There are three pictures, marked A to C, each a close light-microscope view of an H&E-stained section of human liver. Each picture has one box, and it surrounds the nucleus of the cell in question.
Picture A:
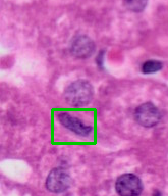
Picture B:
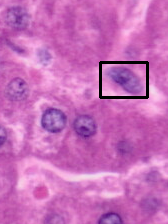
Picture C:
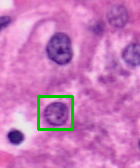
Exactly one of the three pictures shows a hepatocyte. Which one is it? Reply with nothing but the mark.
C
